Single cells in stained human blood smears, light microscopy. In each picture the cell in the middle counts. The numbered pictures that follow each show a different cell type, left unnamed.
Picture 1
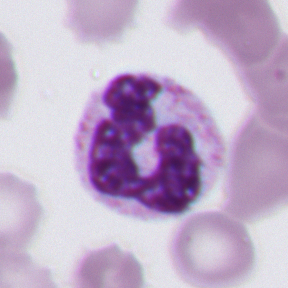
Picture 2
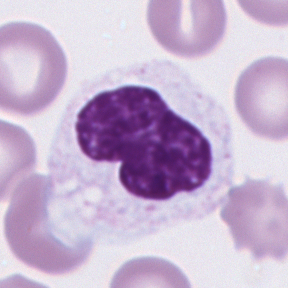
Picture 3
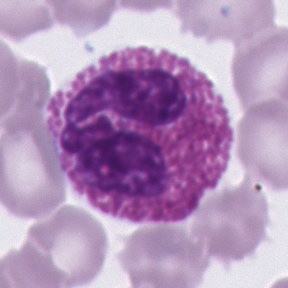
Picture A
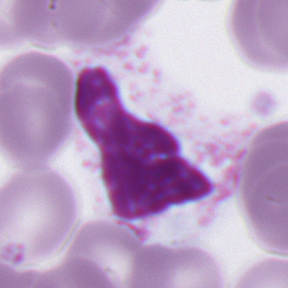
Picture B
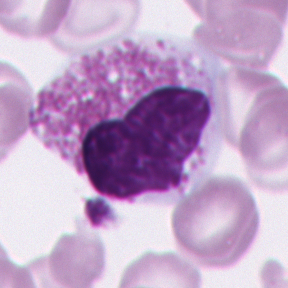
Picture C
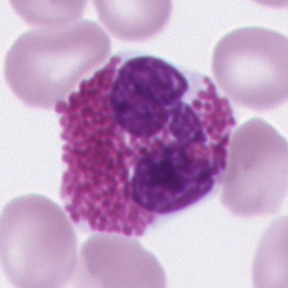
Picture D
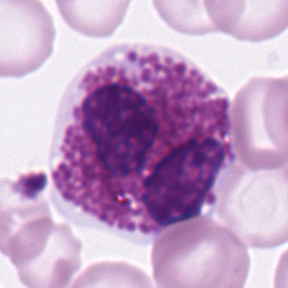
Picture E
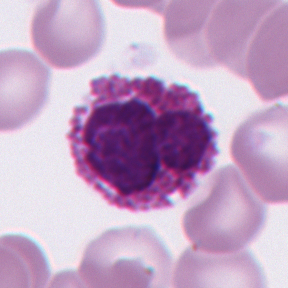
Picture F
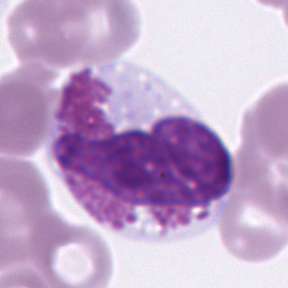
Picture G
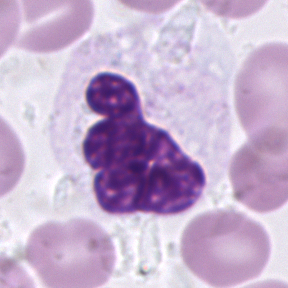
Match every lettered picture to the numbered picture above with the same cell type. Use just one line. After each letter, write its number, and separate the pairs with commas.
A 1, B 3, C 3, D 3, E 3, F 3, G 1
